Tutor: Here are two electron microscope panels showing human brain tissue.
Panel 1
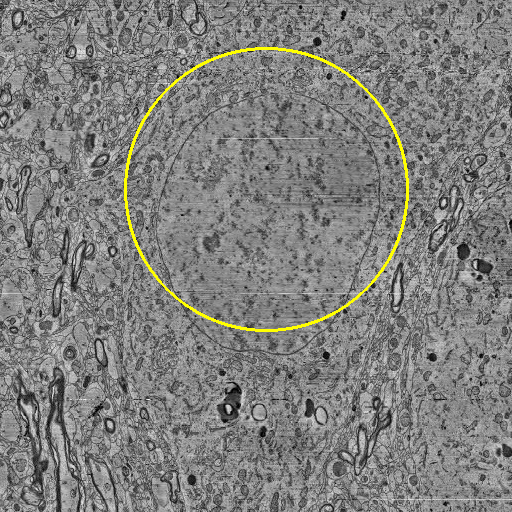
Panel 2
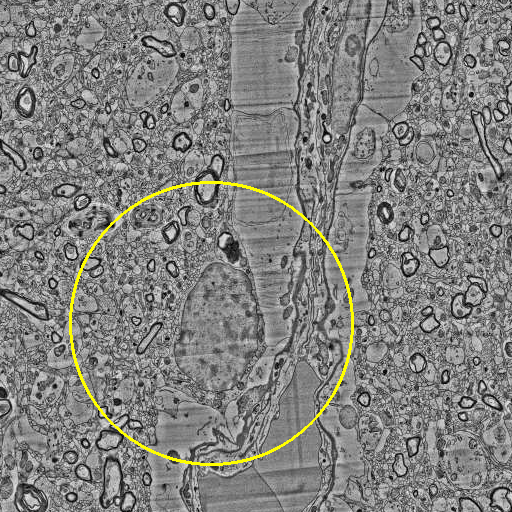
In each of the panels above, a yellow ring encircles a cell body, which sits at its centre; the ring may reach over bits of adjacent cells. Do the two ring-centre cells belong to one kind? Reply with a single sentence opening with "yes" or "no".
No, the two cells sitting at the ring centres in the panels belong to two kinds.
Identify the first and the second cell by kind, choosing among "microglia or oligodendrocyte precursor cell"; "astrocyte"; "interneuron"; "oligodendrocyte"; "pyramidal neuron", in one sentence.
The one in the first picture is a pyramidal neuron, while the one in the second is an oligodendrocyte.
